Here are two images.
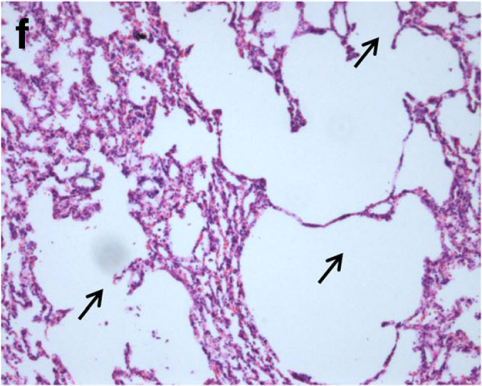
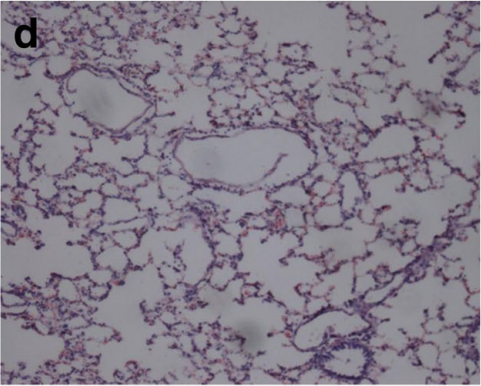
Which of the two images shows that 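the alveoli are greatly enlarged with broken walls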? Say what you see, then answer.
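The first image. Second image: small, evenly sized alveoli with thin intact walls. First image: large airspaces several times the size of alveoli with thin, interrupted walls.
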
